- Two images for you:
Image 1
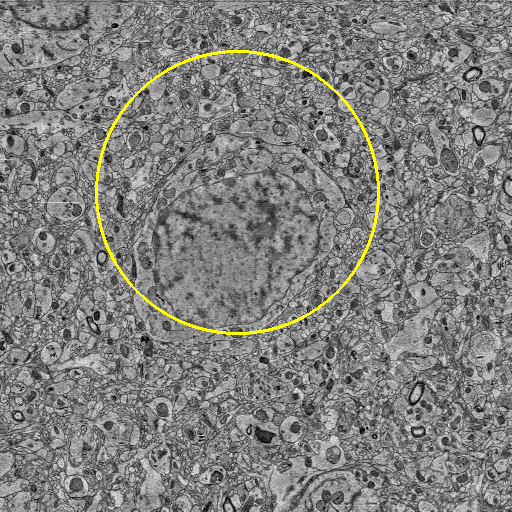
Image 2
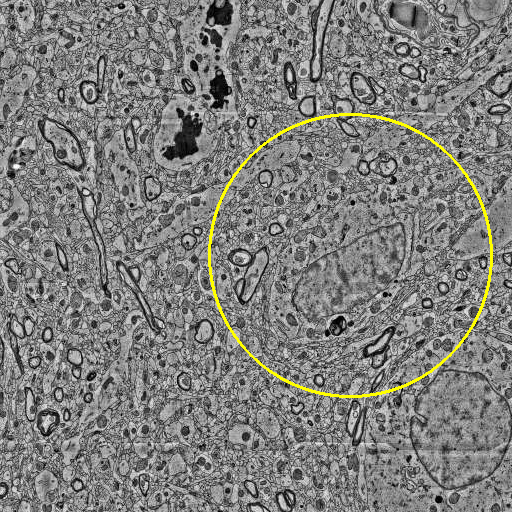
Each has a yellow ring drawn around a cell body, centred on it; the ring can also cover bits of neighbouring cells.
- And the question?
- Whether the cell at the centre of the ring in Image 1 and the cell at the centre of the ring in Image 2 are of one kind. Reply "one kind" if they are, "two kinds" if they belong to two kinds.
one kind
